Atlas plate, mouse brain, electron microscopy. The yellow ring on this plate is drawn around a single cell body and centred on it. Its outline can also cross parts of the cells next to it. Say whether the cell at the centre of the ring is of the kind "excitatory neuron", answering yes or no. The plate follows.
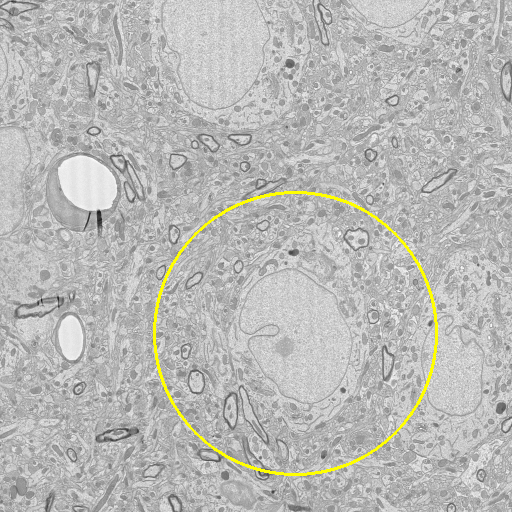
Yes, the cell is of that kind.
